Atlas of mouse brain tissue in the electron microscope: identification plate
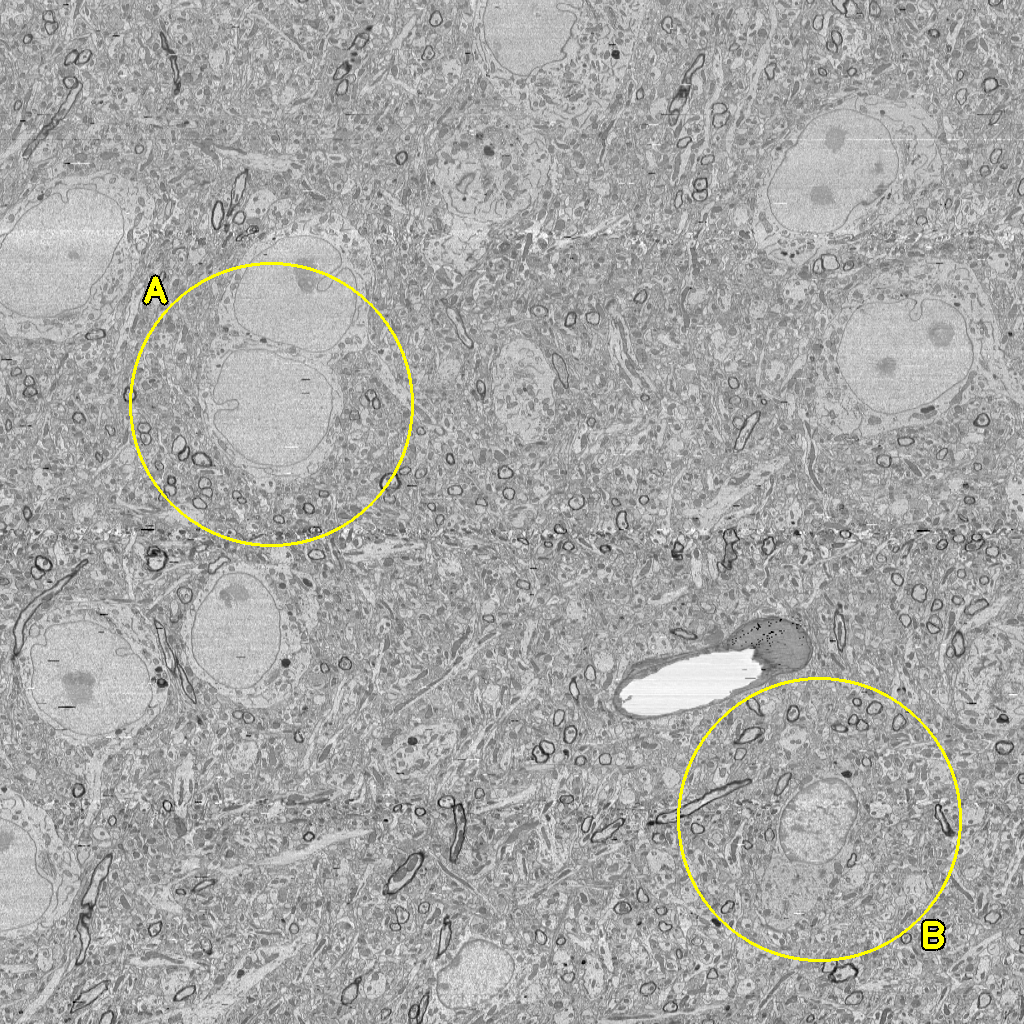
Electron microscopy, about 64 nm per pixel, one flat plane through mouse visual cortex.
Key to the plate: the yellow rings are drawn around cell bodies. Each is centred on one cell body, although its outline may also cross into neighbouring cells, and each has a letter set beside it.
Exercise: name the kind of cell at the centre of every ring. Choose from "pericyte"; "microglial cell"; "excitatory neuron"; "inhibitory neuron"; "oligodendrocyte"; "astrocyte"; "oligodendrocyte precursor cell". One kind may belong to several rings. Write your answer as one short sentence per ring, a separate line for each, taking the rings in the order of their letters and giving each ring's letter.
The centre of ring A is occupied by an excitatory neuron.
The centre of ring B is occupied by an oligodendrocyte.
